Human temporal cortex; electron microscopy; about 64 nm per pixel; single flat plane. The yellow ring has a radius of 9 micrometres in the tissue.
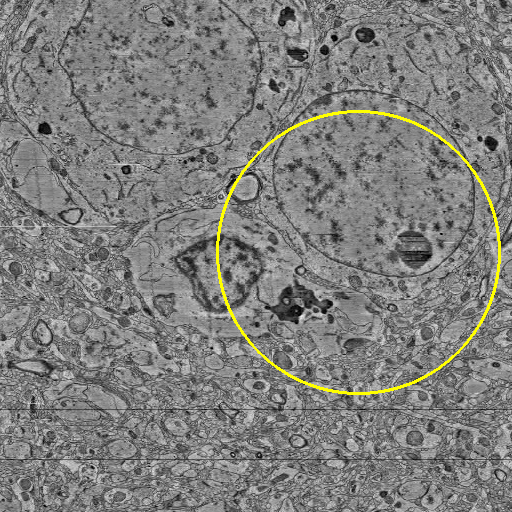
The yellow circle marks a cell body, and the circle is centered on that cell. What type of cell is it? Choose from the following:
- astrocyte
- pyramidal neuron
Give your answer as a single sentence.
This cell body belongs to a pyramidal neuron.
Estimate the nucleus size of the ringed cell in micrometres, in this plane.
The nucleus appears roughly 13 by 12 micrometres in this plane.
